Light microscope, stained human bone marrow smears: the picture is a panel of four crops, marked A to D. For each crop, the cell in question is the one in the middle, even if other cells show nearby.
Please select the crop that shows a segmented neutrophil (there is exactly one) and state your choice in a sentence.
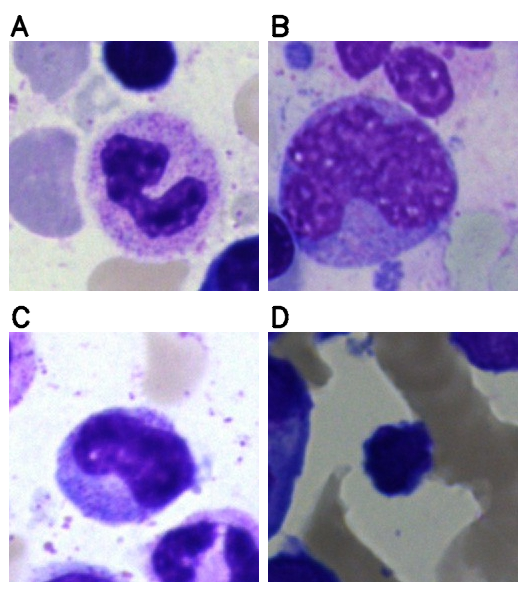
Crop A is the one to choose: it shows a segmented neutrophil.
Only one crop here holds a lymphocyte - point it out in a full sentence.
The crop that shows a lymphocyte is crop D.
